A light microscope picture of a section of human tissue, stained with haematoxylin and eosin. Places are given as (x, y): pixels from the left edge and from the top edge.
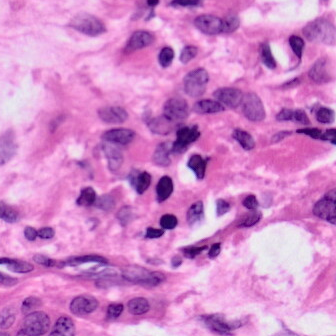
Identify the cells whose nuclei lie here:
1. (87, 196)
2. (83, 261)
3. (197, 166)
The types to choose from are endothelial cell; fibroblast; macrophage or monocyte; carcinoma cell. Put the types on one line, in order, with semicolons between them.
carcinoma cell; endothelial cell; carcinoma cell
